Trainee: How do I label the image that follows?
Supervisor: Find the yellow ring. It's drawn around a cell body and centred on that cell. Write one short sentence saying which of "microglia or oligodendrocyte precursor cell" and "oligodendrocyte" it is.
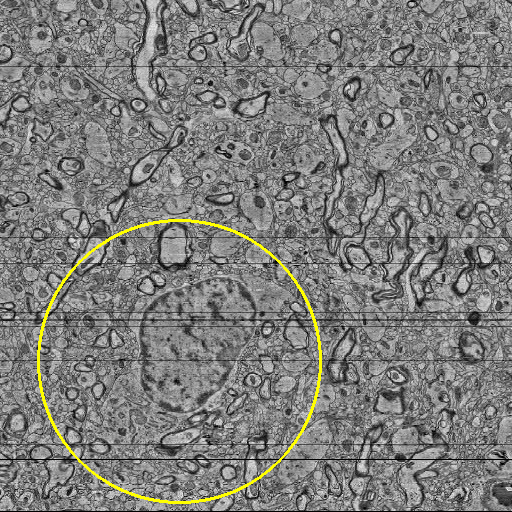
This is the cell body of a microglial cell or oligodendrocyte precursor cell.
